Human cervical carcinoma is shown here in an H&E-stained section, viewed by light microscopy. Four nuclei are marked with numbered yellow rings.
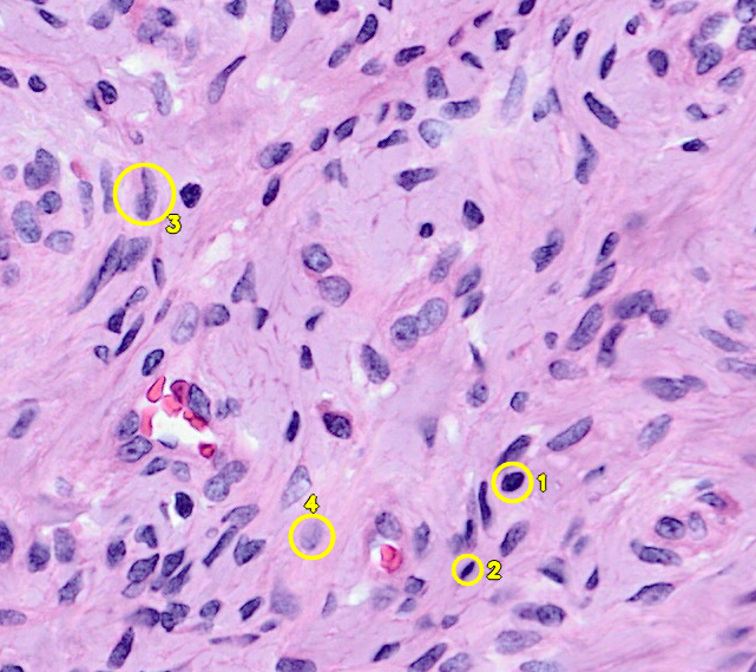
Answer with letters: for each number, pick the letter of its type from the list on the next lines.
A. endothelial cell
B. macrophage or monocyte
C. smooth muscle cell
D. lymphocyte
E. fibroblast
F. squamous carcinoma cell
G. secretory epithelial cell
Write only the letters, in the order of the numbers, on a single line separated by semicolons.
D; E; E; E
